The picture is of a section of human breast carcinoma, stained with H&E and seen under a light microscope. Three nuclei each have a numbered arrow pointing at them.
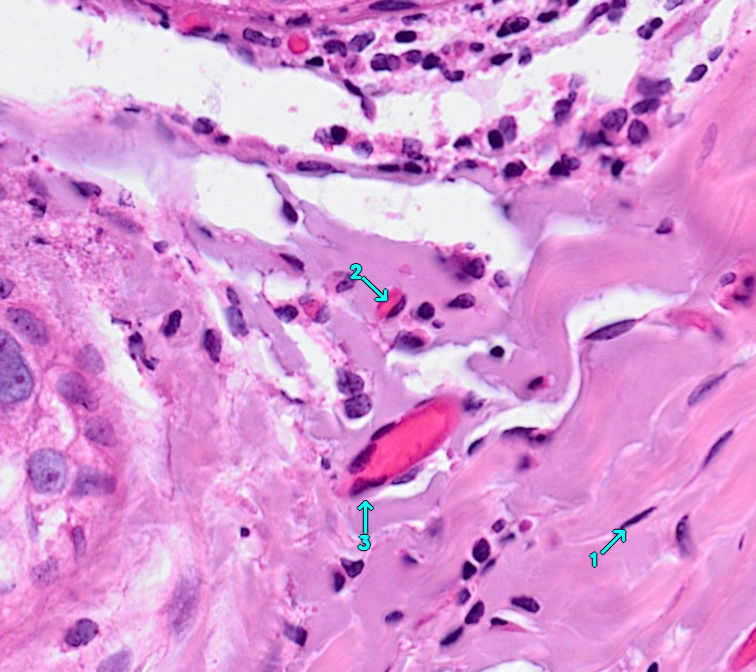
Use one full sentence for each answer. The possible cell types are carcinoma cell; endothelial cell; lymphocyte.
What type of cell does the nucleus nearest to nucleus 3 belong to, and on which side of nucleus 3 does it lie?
It is an endothelial cell, whose nucleus lies above nucleus 3.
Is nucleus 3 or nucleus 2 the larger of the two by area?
Nucleus 3 is larger, with an area about 2 times that of nucleus 2.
